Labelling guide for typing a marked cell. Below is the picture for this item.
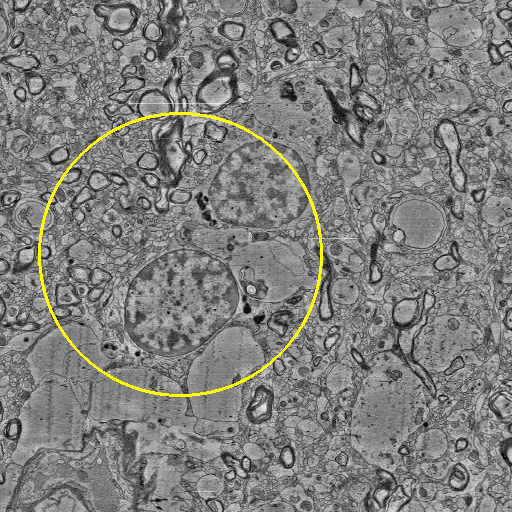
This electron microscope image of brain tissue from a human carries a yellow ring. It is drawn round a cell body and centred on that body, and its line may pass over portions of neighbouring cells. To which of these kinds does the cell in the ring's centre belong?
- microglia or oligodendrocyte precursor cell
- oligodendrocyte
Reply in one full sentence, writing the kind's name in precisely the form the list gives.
Here we have a microglial cell or oligodendrocyte precursor cell at the centre of the yellow ring in the picture.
